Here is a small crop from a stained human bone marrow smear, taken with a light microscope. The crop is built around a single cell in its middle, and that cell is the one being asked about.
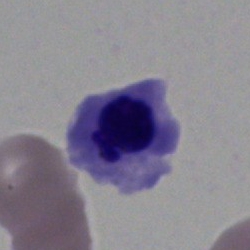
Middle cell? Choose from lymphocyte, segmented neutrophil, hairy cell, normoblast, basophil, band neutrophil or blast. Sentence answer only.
To answer, the cell in the center of the crop is a normoblast.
